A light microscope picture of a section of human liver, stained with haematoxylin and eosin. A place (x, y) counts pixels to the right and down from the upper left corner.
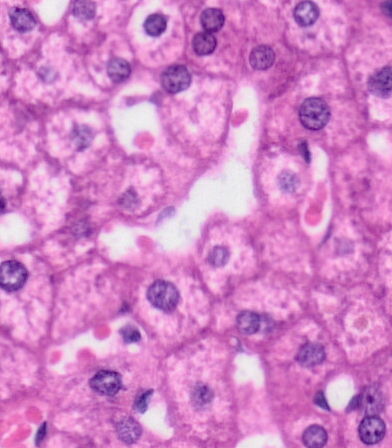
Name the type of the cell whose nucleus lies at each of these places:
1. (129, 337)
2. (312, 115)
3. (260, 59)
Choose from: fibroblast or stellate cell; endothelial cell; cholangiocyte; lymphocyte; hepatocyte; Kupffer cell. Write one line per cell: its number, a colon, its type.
1: Kupffer cell
2: hepatocyte
3: hepatocyte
